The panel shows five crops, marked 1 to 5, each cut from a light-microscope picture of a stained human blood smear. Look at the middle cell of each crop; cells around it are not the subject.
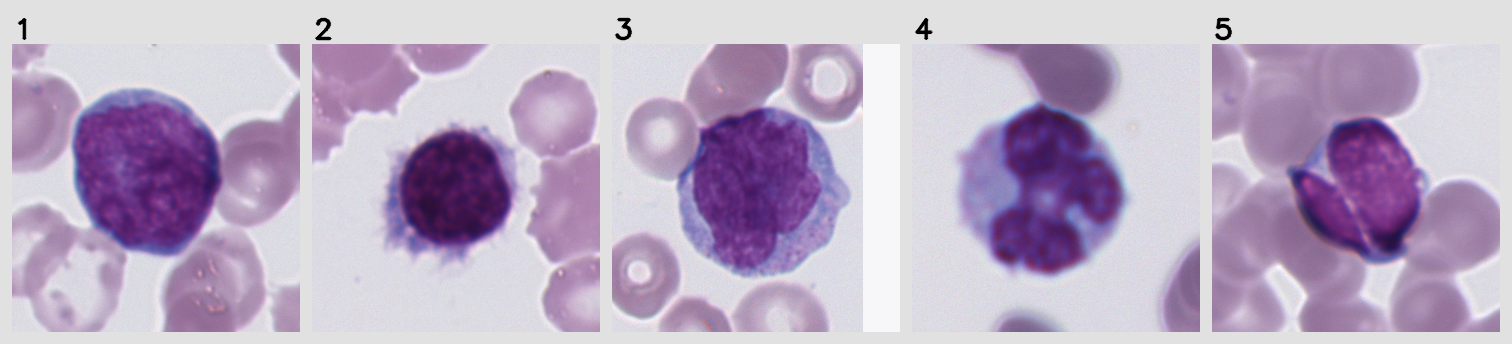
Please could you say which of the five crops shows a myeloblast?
1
